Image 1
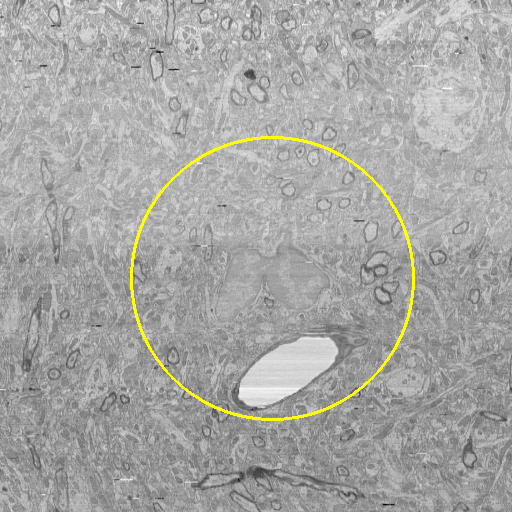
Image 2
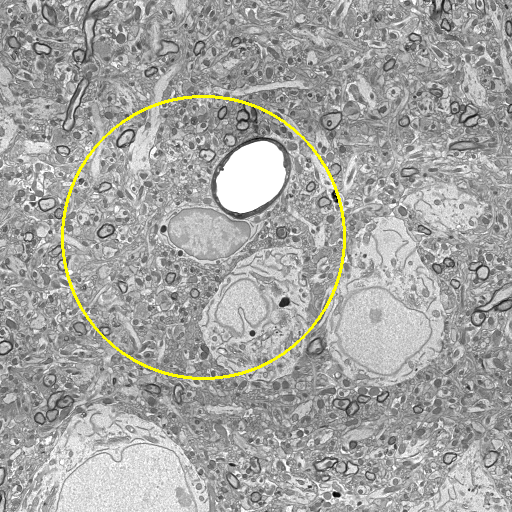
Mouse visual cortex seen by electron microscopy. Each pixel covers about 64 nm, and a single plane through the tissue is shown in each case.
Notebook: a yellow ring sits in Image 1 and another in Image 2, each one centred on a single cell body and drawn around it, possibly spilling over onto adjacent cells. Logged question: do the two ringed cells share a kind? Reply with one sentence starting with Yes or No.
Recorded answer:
Yes, both centre cells inside the rings of Image 1 and Image 2 share one kind.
